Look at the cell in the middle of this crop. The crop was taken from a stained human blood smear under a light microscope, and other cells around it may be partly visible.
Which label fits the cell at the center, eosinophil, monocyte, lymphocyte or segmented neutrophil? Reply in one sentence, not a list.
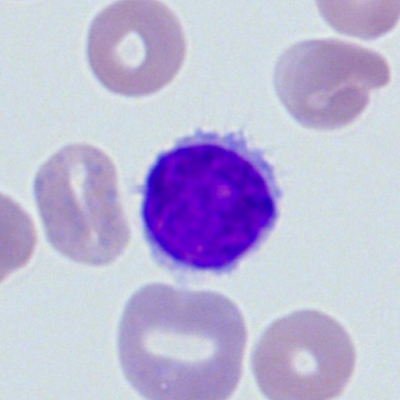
The cell that lies at the centre of the crop is a lymphocyte.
